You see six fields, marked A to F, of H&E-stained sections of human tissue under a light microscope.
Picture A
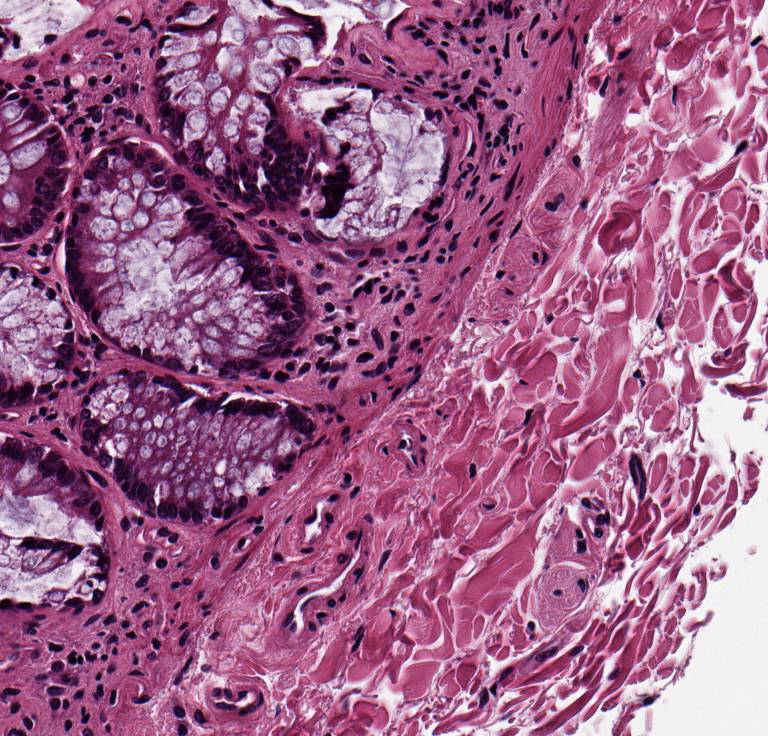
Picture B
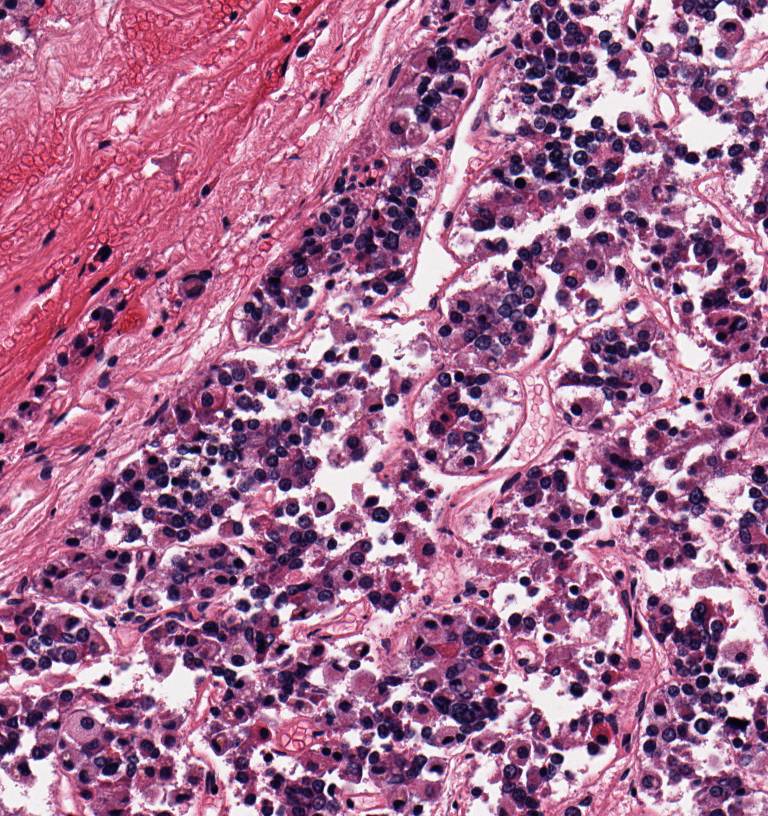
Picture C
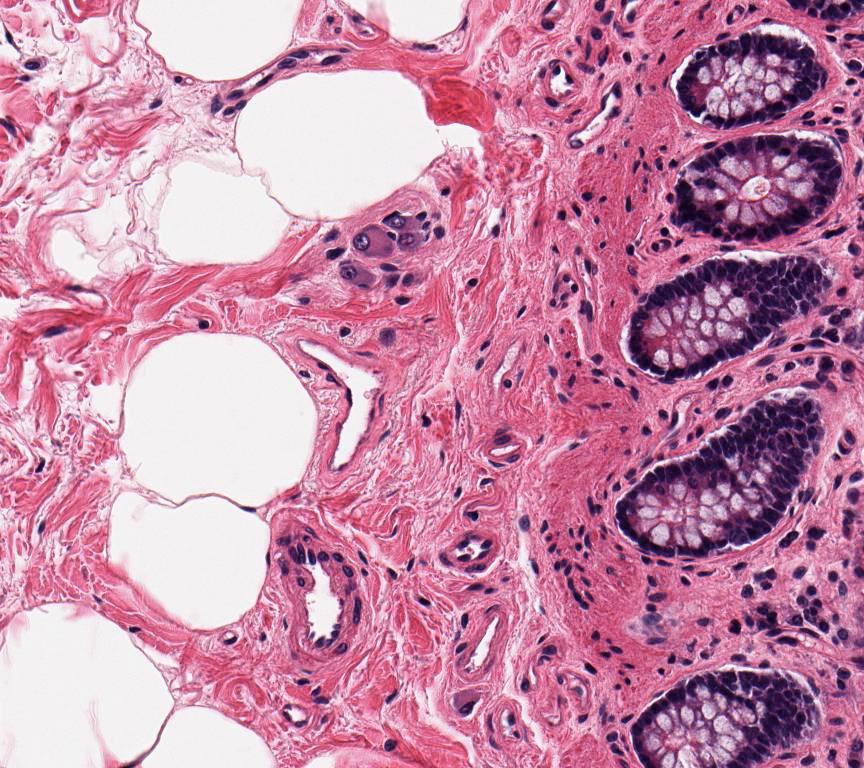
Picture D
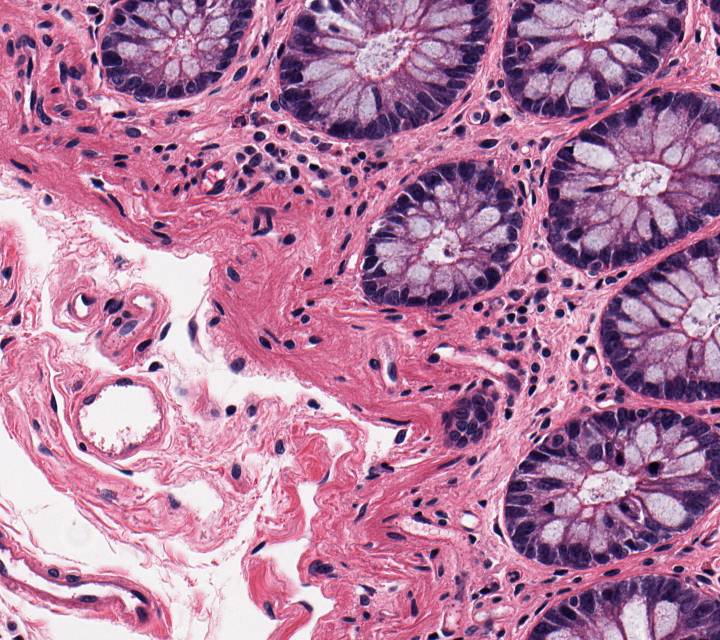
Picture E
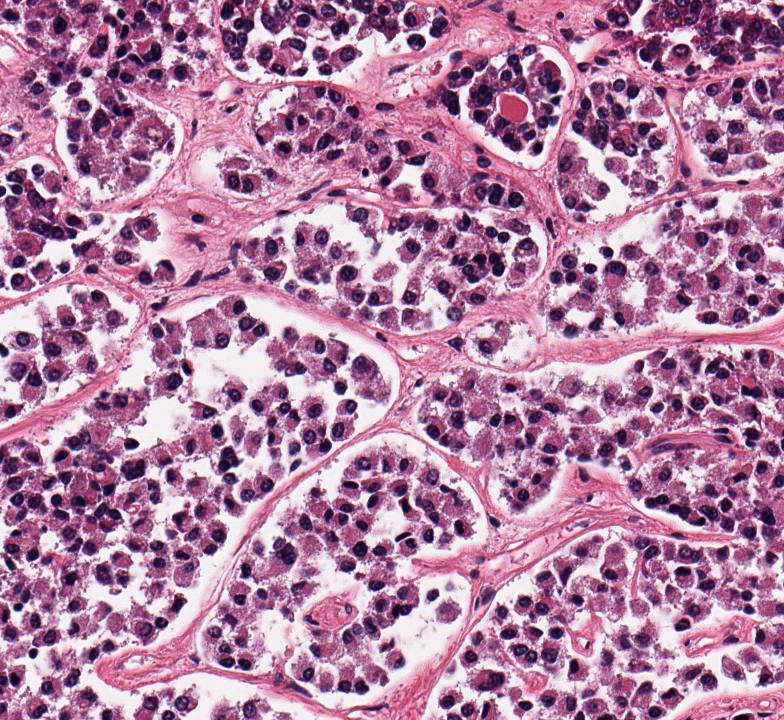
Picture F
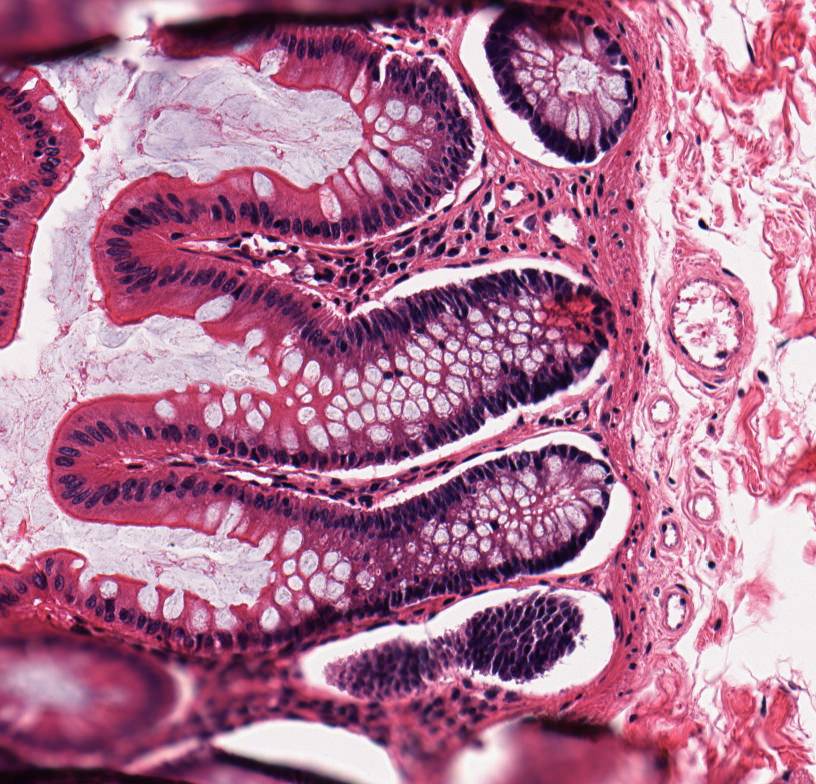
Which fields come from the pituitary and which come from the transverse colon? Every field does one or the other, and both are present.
A: transverse colon
B: pituitary
C: transverse colon
D: transverse colon
E: pituitary
F: transverse colon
